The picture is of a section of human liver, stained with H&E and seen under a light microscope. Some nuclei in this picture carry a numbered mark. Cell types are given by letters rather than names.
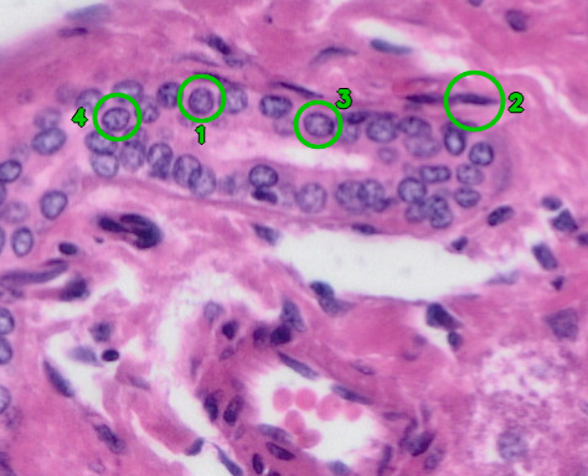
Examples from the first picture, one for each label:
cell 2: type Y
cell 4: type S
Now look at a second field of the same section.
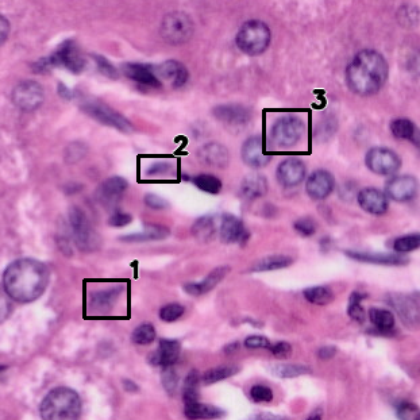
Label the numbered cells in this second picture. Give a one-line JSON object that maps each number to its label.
{"1": "type Y", "2": "type Y", "3": "type S"}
